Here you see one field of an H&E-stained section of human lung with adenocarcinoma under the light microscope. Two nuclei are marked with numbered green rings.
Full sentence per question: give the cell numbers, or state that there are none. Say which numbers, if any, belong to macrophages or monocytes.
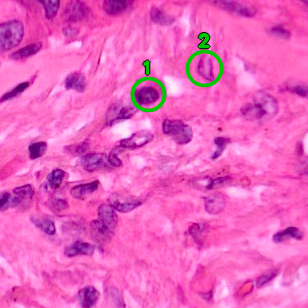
Cell 2 represents a macrophage or monocyte, and no other numbered cell does.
